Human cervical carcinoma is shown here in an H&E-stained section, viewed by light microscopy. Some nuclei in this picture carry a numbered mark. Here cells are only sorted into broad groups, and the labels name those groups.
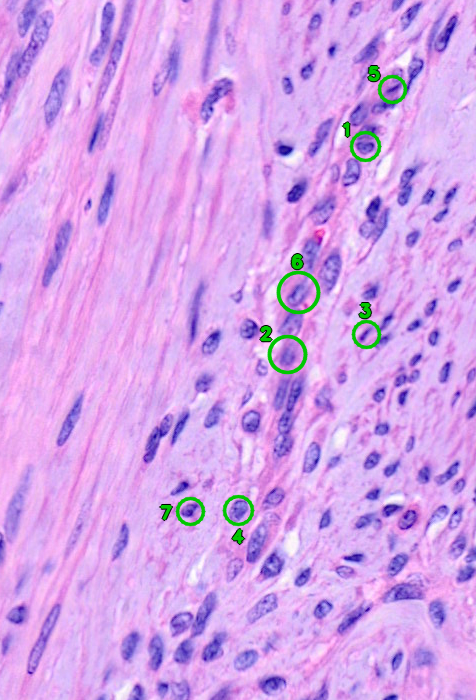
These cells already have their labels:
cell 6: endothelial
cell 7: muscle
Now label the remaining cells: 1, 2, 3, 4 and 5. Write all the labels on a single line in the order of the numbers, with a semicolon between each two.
endothelial; endothelial; muscle; muscle; endothelial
